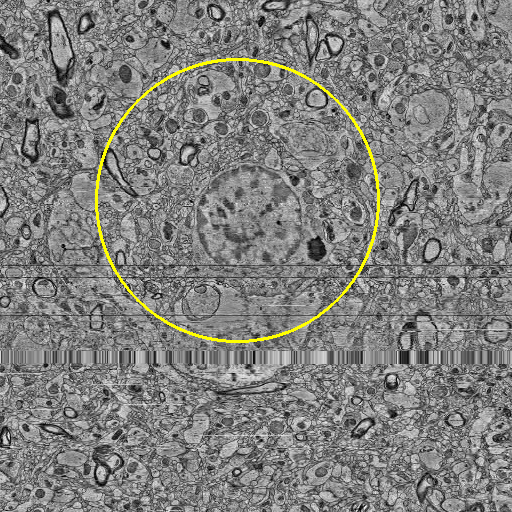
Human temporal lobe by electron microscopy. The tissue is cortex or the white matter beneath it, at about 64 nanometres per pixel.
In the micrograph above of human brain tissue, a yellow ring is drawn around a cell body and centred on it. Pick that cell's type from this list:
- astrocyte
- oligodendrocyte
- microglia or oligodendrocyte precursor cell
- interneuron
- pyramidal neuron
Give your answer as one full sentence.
Going by the list, an oligodendrocyte is the cell on which the yellow ring is centred.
